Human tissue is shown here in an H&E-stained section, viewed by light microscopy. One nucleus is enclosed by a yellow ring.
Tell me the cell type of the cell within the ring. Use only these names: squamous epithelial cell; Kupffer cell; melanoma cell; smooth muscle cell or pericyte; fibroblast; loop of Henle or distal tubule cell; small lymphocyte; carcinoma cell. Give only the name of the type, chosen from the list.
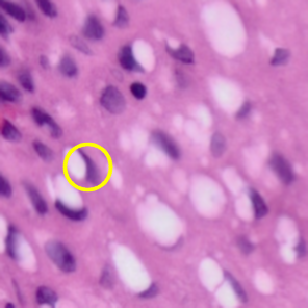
squamous epithelial cell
